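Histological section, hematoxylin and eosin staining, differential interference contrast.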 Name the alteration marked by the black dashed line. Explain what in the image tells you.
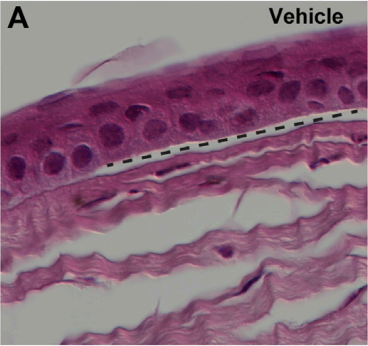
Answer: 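Gaps beneath the epithelium. A pale, empty band runs along the dashed line between the bottom of the epithelium and the stroma below. The epithelial cell layer is lifted off the fibrous tissue beneath it.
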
